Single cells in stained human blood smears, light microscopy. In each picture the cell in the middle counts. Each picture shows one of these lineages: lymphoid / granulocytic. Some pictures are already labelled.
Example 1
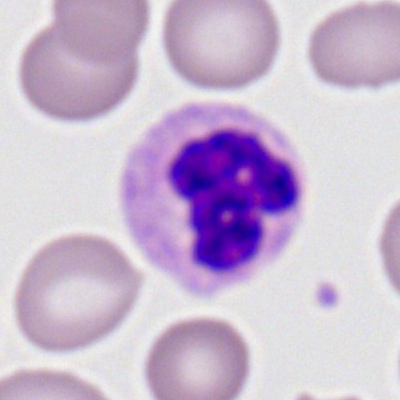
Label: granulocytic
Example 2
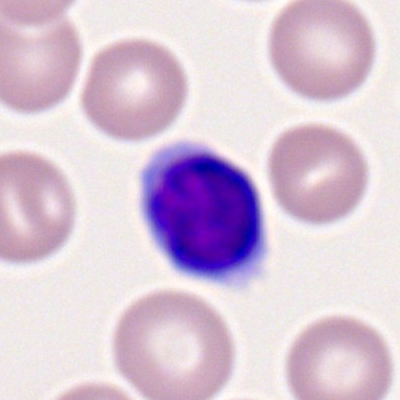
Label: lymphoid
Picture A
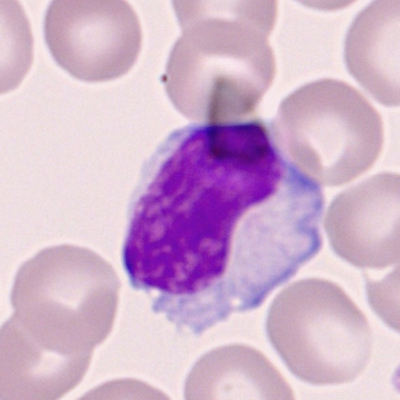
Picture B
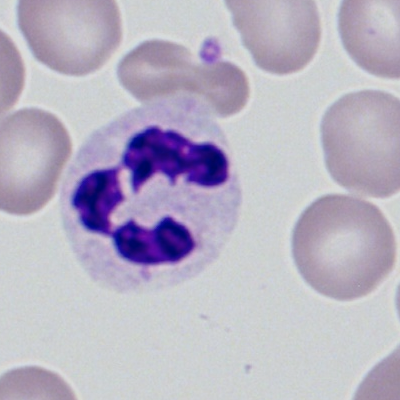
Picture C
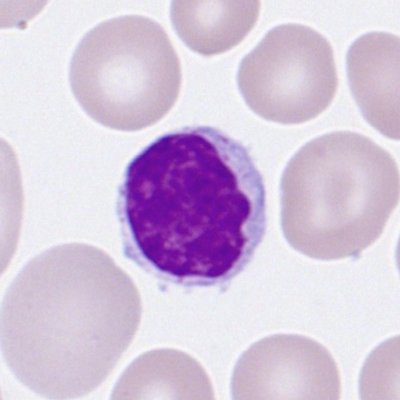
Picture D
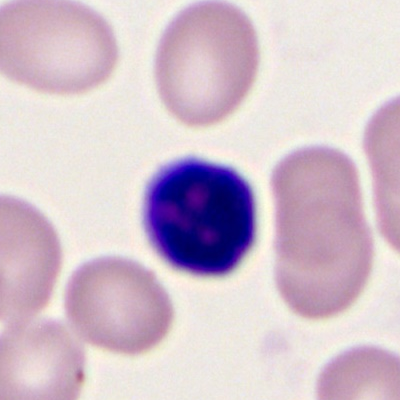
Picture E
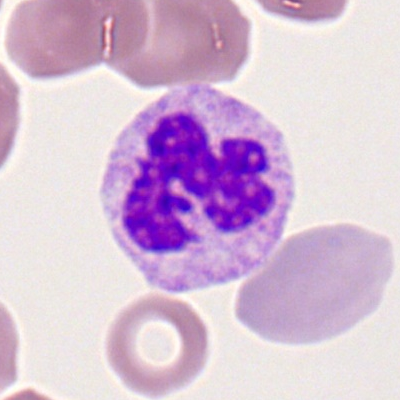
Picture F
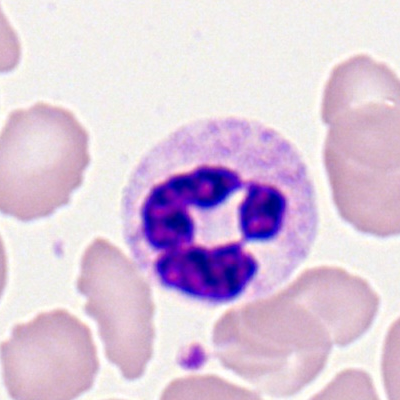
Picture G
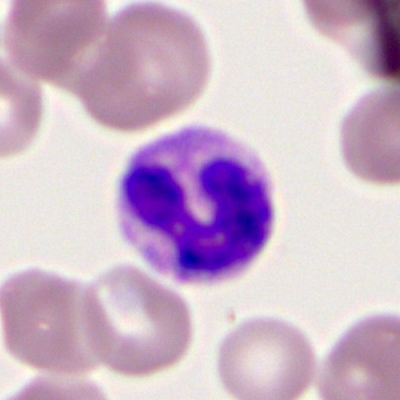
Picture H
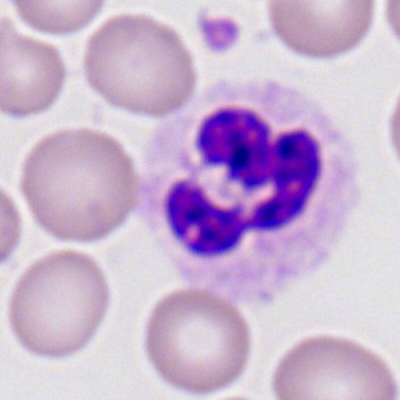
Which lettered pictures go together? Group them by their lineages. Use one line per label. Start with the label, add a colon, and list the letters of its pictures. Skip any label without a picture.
lymphoid: A, C, D
granulocytic: B, E, F, G, H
